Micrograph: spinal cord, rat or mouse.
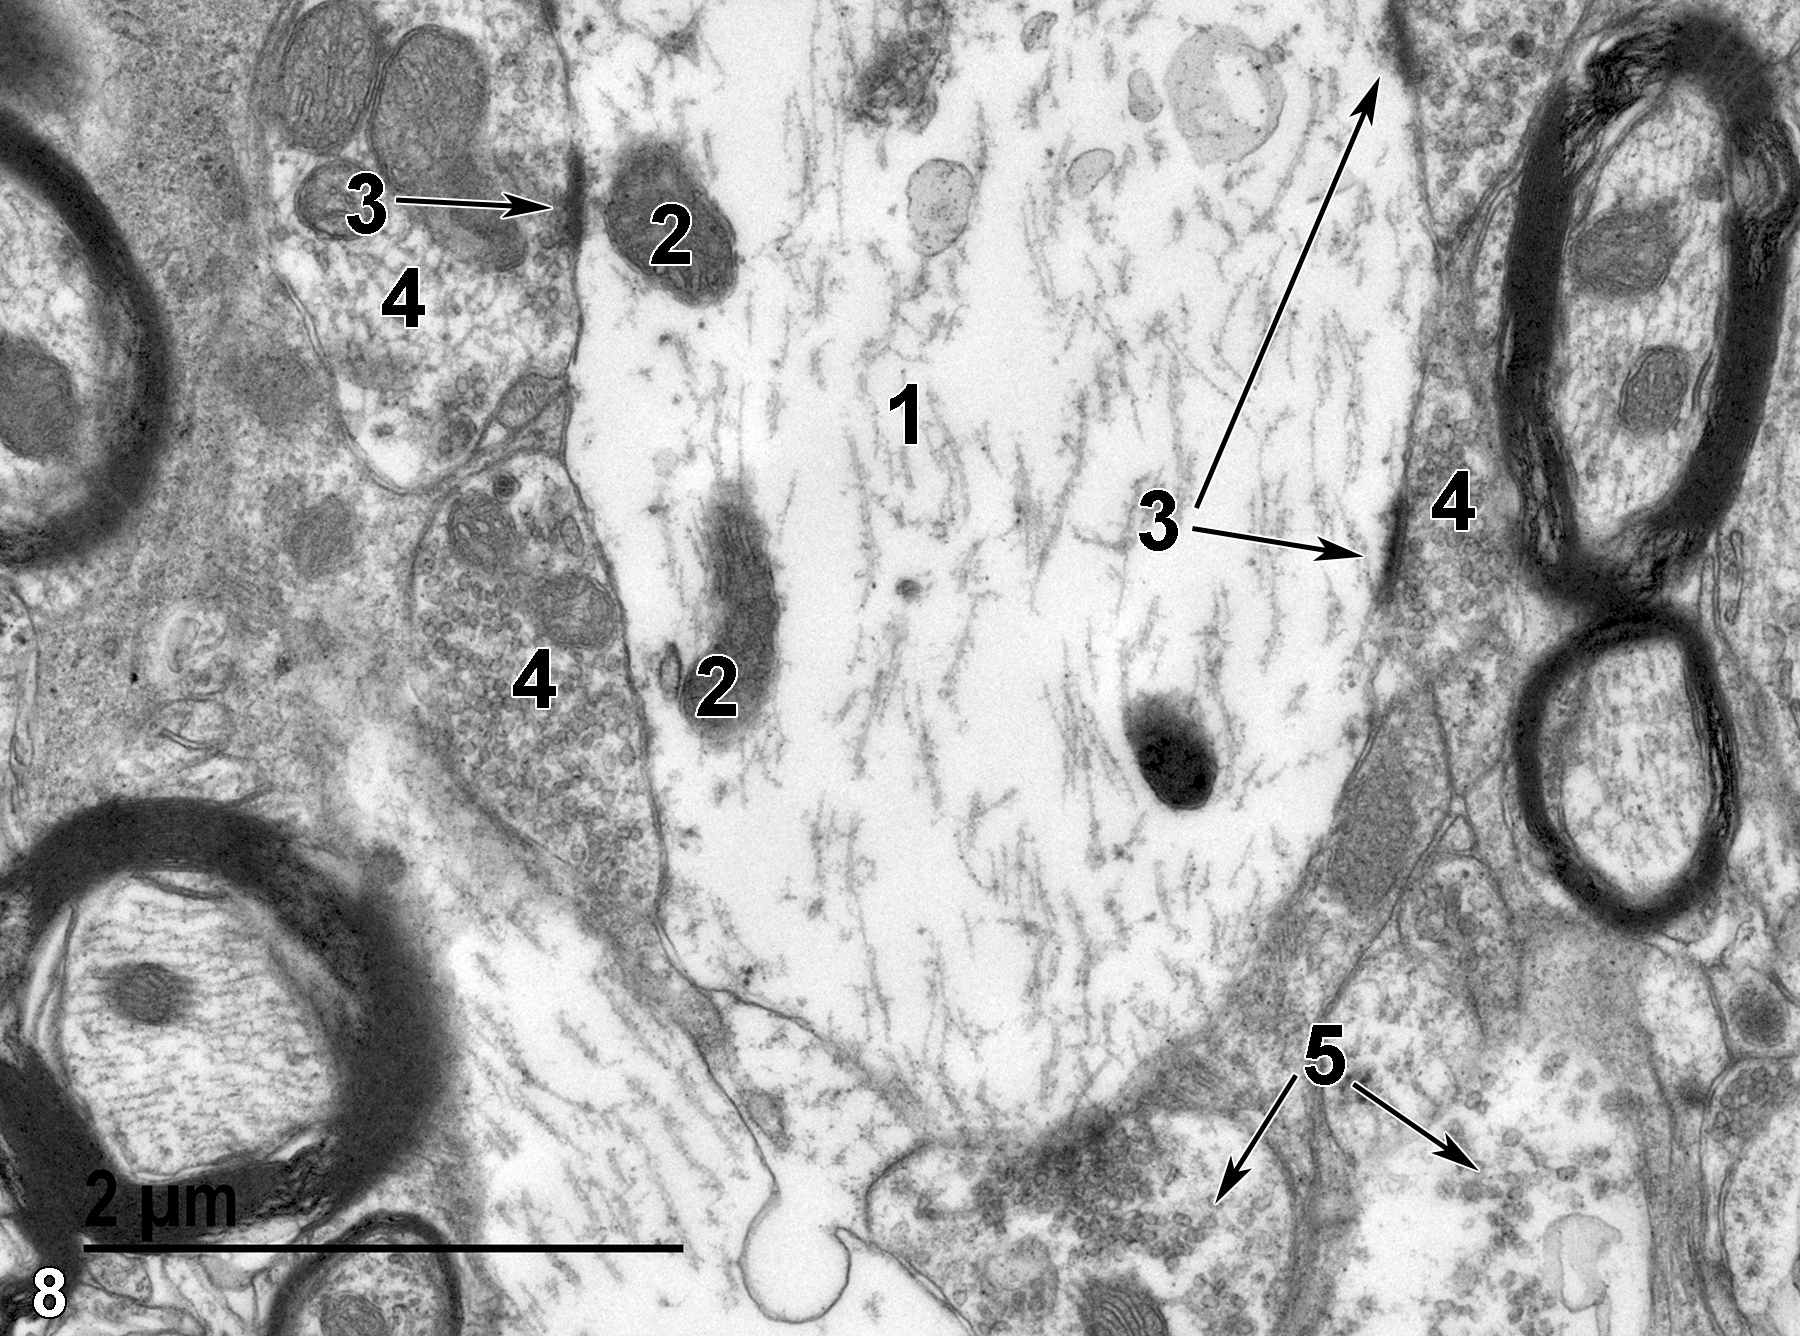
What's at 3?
axo-dendritic synapses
